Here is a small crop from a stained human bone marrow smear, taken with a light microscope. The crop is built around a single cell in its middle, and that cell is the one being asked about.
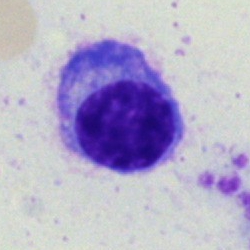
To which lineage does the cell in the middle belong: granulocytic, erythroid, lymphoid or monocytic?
lymphoid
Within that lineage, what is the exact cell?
plasma cell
